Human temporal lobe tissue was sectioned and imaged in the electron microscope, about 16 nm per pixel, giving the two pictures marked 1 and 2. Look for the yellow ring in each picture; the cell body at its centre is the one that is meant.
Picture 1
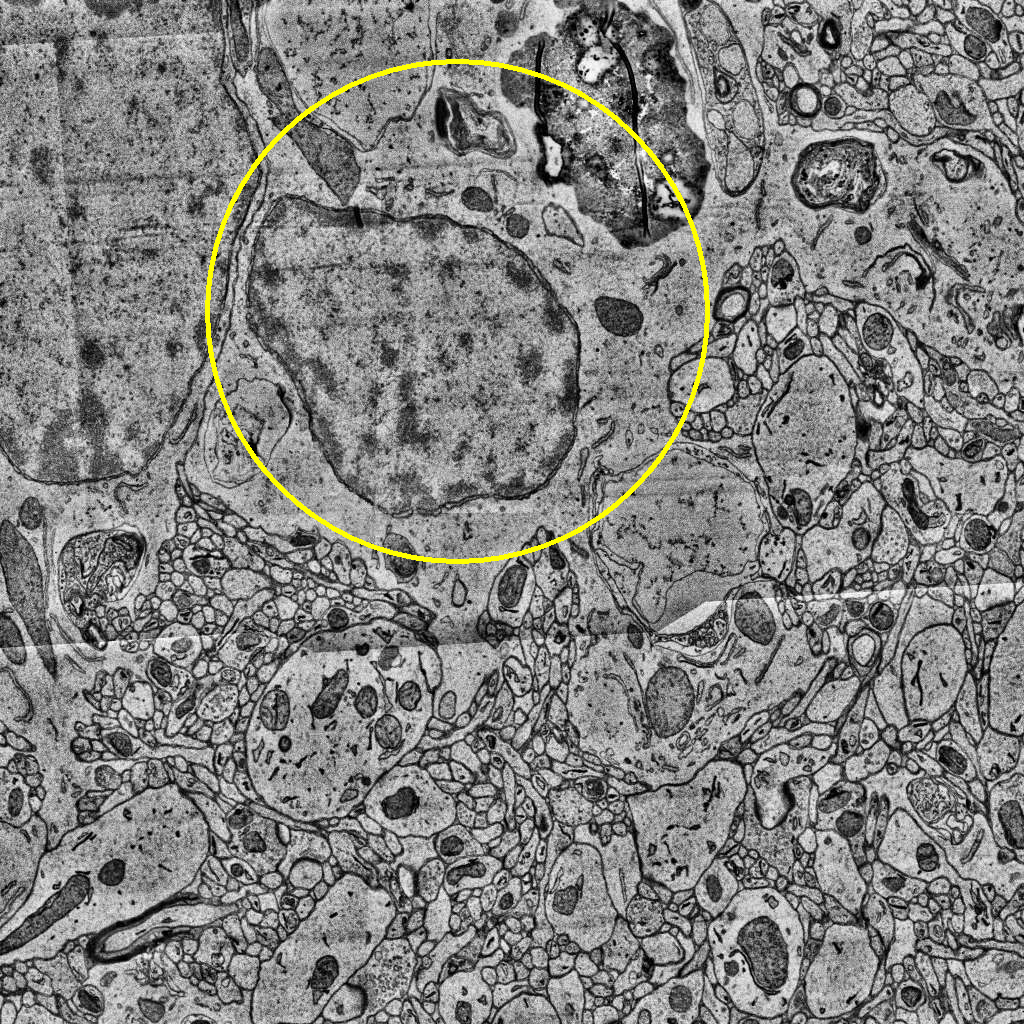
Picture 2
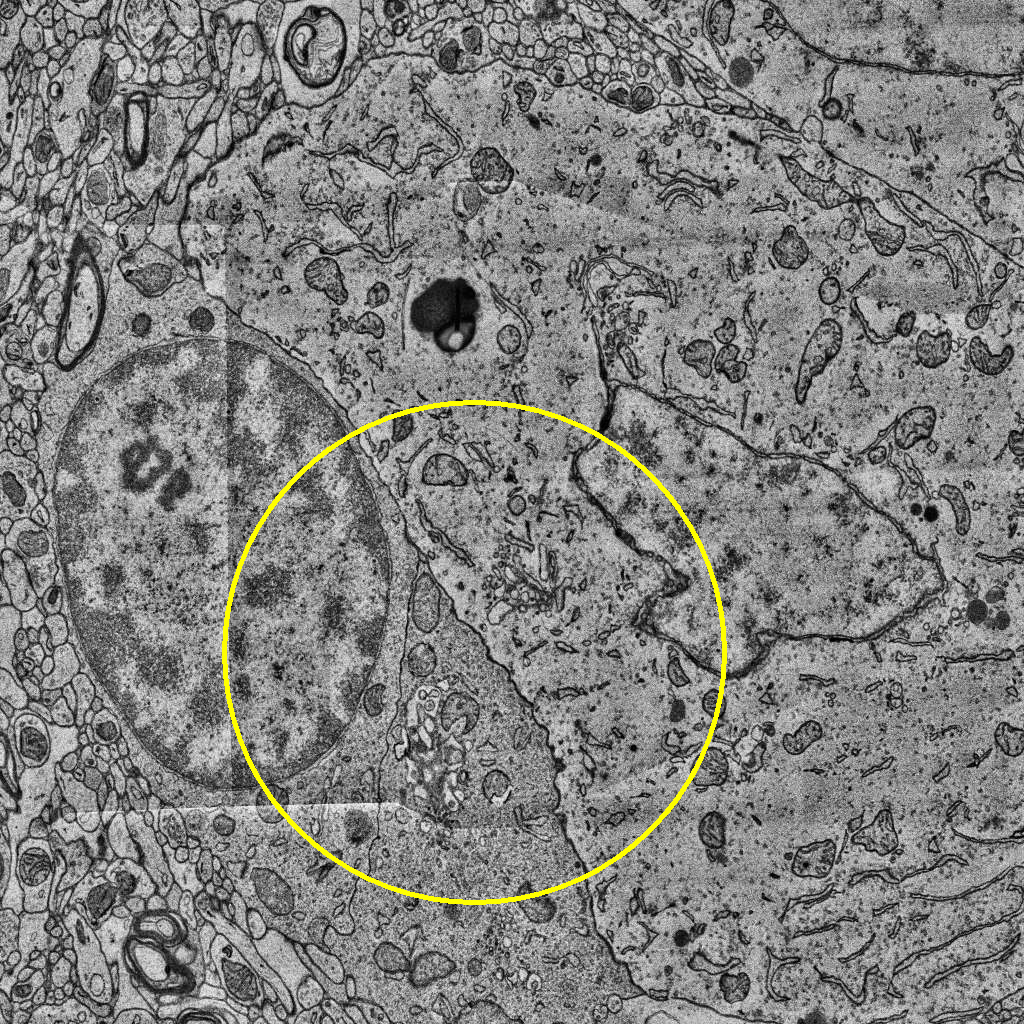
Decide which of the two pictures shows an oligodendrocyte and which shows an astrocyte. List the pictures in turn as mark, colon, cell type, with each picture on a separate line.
1: astrocyte
2: oligodendrocyte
